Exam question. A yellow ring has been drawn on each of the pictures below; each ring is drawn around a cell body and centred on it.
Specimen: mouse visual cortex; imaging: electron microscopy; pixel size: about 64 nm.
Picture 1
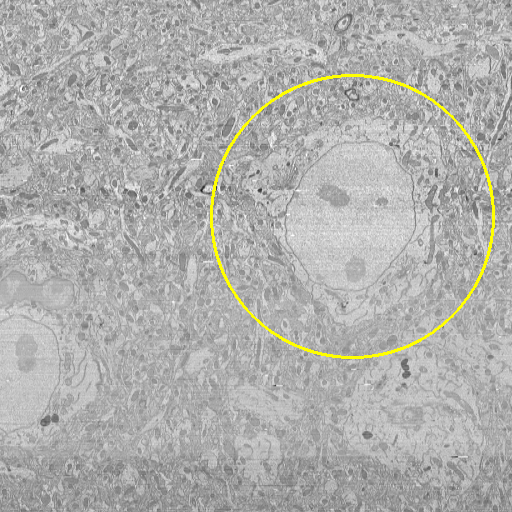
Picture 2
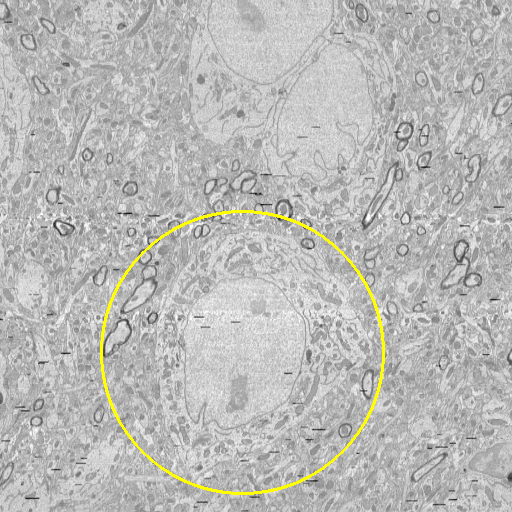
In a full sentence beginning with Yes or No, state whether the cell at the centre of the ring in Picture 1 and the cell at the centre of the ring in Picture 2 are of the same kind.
No, the cells are of two kinds.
